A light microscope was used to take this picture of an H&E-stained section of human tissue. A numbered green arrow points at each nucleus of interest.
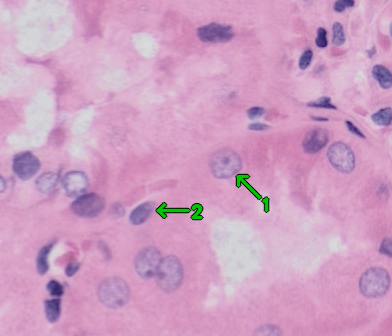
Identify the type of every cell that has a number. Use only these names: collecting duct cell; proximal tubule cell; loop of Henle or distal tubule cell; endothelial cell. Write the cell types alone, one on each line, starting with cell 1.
proximal tubule cell
endothelial cell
